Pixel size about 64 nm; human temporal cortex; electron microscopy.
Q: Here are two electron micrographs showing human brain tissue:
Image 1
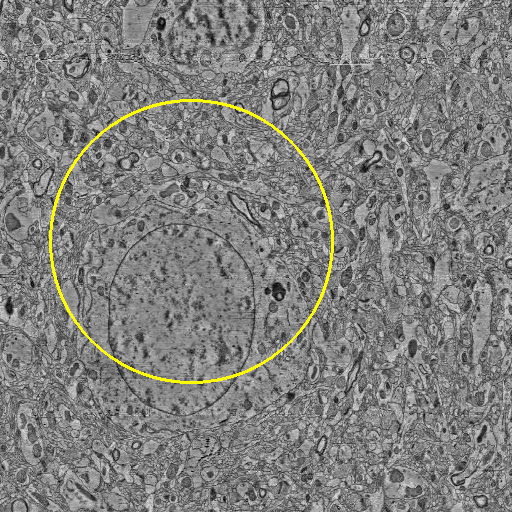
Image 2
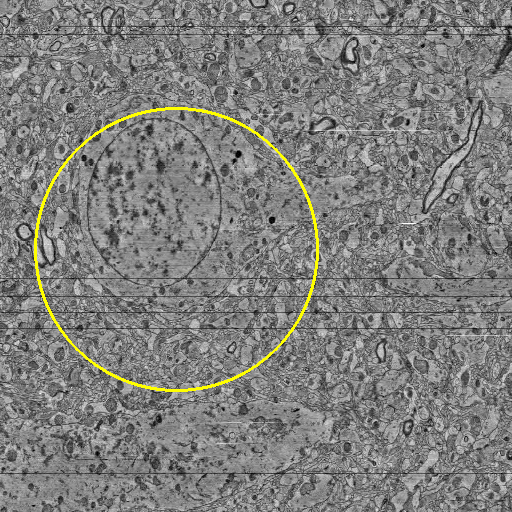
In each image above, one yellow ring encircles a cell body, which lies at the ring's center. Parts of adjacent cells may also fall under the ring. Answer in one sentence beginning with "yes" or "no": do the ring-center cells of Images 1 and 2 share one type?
Yes, in Images 1 and 2, the ring-center cells are both of one type.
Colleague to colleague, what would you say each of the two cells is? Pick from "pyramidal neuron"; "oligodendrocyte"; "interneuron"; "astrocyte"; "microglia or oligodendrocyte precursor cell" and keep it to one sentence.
The cell in the first picture is a pyramidal neuron, and so is the one in the second.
